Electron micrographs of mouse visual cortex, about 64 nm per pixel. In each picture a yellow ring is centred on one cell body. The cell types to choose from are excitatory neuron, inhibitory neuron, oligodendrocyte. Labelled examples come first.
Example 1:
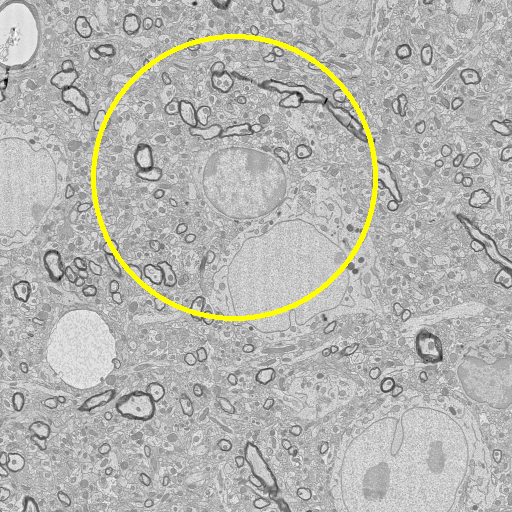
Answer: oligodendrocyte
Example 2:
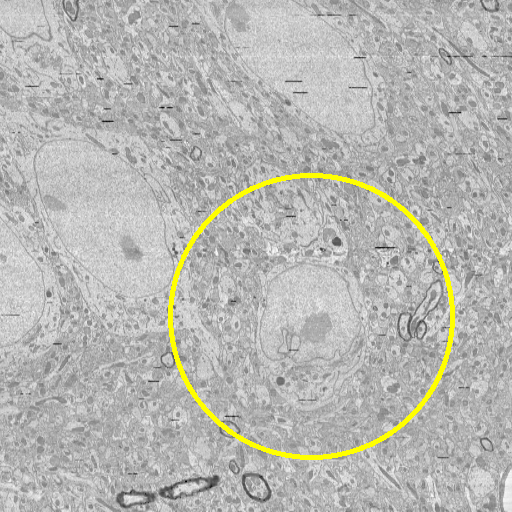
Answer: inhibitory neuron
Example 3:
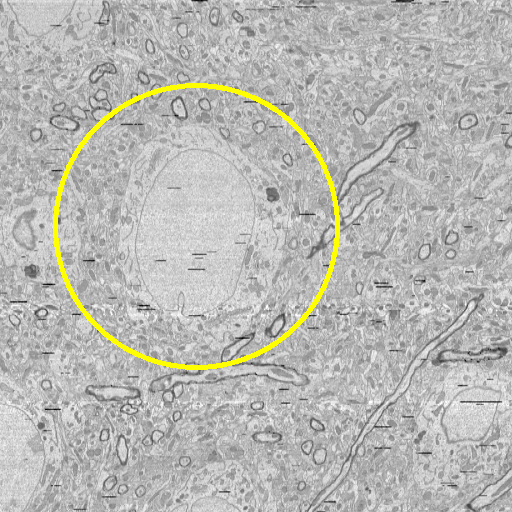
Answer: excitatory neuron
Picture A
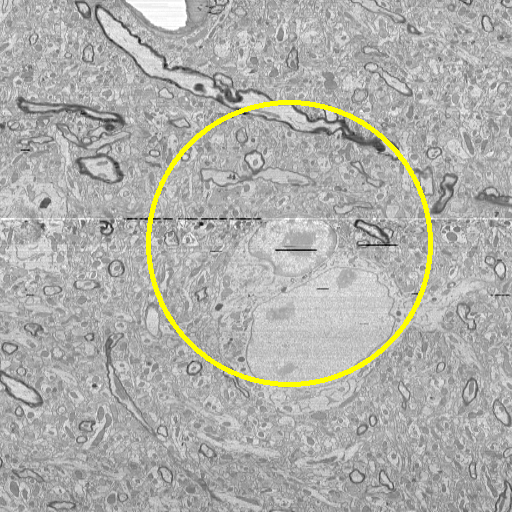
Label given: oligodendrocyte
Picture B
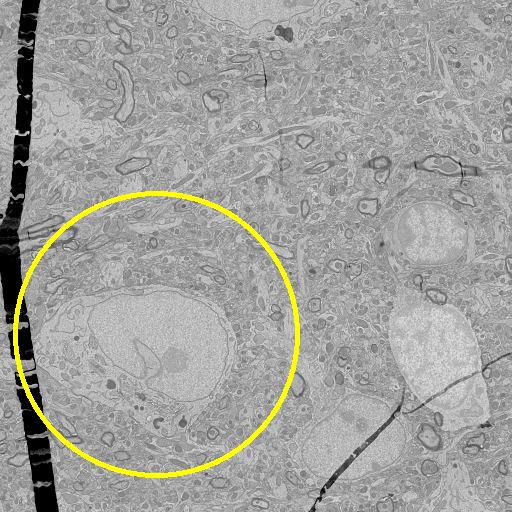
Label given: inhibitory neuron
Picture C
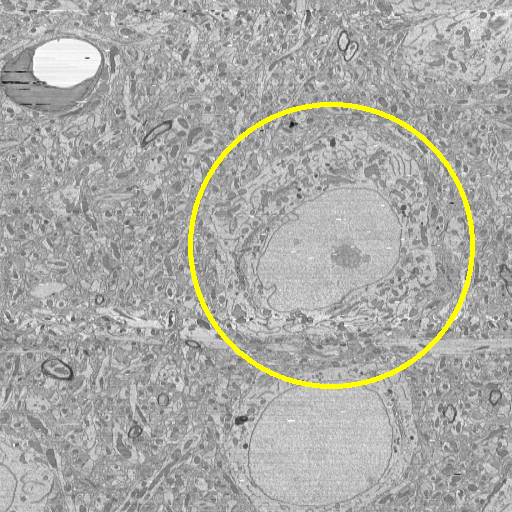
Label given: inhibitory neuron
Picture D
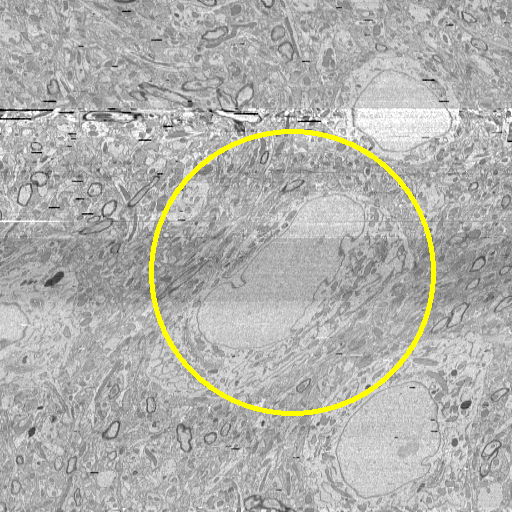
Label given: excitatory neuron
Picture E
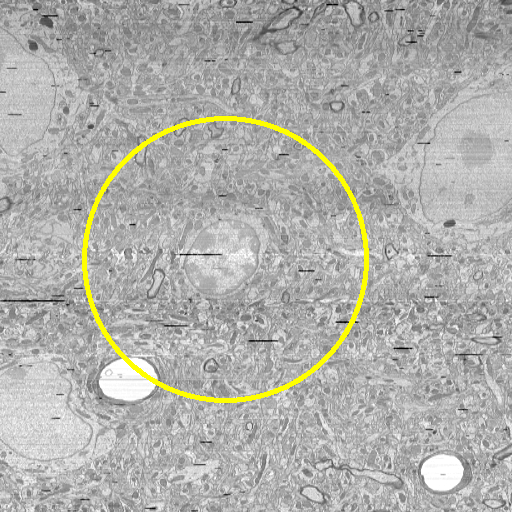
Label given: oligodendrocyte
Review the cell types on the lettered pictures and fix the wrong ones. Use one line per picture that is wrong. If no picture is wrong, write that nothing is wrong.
D is labelled excitatory neuron; correct label: inhibitory neuron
